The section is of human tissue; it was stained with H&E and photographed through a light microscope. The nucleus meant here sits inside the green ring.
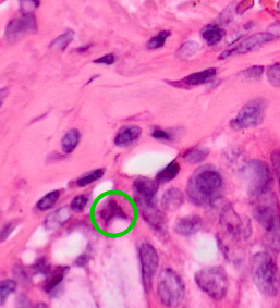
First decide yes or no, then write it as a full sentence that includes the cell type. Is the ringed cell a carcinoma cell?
No, the ringed cell is put down as a ciliated epithelial cell, not as a carcinoma cell.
